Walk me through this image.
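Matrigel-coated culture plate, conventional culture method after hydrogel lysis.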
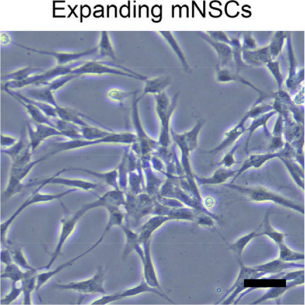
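The cells are spindle-shaped or have several tapering processes, with bright edges and darker central bodies. They gather in small clusters where bodies and processes touch, while other cells stretch out singly.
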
